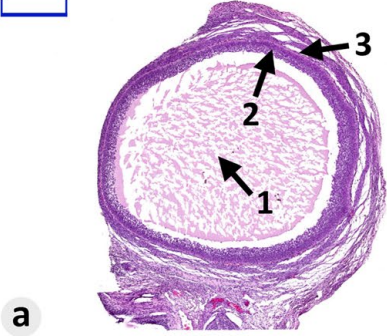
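Cross section of an ovarian antral follicle stained with hematoxylin and eosin. A large central antrum is filled with pale pink, finely meshed precipitated fluid, retracted slightly from the wall. It is lined by a thick, continuous layer of densely packed granulosa cells whose crowded nuclei give a deep purple band. Outside this lies a paler, concentrically arranged theca, an inner more cellular zone and an outer fibrous zone, which blends into loose surrounding connective tissue with small vessels at the lower side. The follicle is round to slightly oval, with a wall of even thickness around most of its circumference.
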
